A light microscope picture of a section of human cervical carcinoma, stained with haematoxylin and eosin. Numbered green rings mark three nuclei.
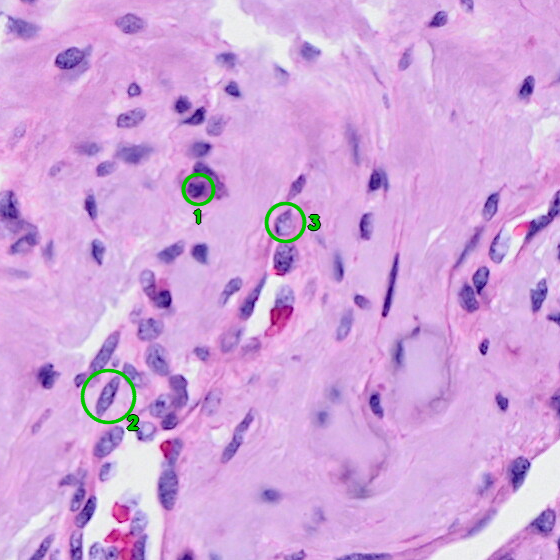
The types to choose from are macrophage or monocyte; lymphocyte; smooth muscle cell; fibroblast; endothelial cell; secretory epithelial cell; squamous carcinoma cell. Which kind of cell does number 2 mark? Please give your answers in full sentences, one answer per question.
Denoted by the label 2 in the section is a smooth muscle cell.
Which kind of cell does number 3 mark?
Cell 3, among those numbered, is an endothelial cell.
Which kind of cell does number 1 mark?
The identity of cell 1 is that of an endothelial cell.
